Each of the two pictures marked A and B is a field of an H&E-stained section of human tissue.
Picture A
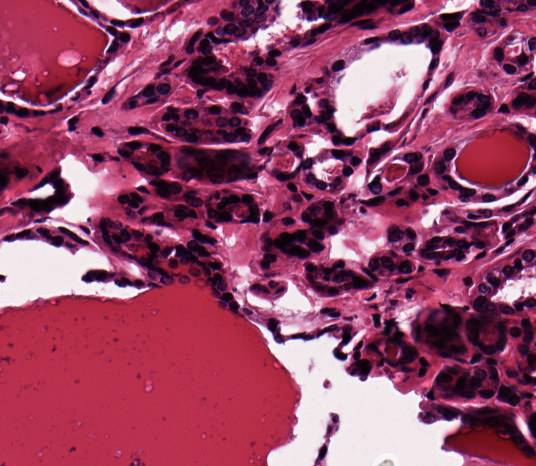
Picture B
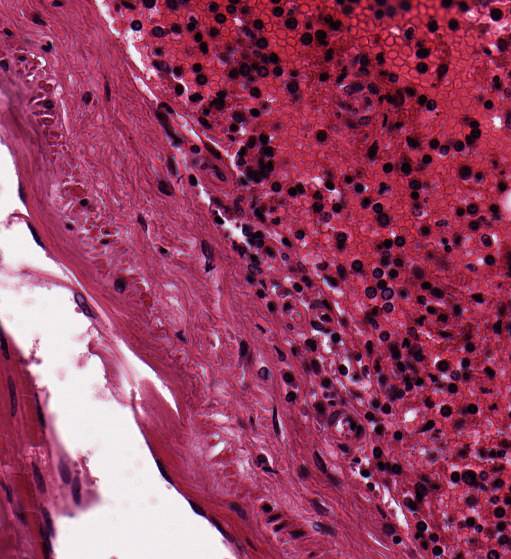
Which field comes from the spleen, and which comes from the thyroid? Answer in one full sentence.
It is picture A that comes from the thyroid, and picture B that comes from the spleen.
